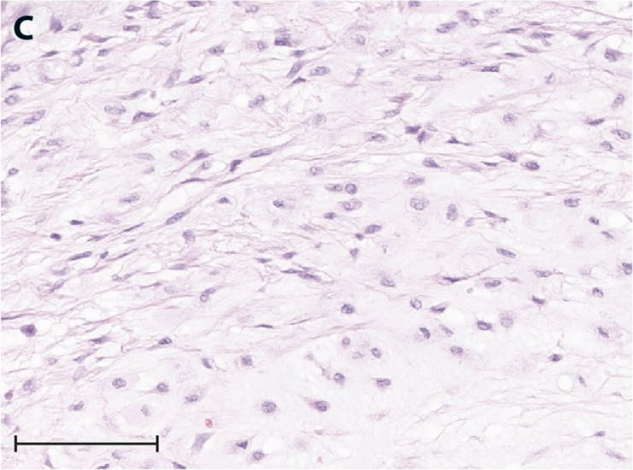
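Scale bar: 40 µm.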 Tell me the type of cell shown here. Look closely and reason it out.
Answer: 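Sparse cells lie scattered in a pale, loose background. The nuclei are oval to elongated and uniform. Thin cell processes stretch out in a roughly parallel direction.
Conclusion: monomorphic spindle cells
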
